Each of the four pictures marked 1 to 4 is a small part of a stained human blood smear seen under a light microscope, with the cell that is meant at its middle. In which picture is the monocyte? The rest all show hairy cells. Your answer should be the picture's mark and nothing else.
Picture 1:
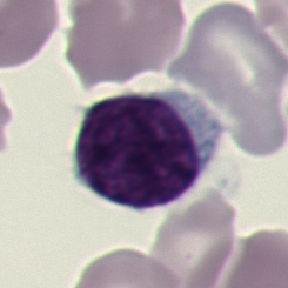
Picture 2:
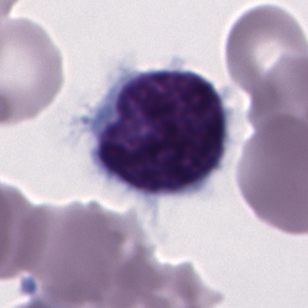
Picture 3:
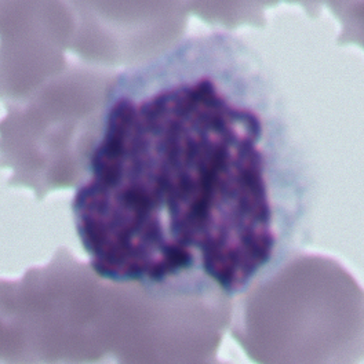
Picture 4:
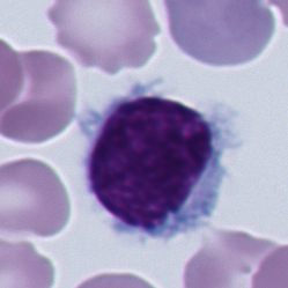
3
